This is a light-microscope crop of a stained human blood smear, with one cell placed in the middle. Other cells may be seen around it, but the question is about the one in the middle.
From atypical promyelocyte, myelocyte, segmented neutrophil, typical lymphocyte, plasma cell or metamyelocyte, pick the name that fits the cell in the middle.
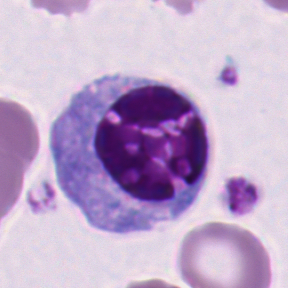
plasma cell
